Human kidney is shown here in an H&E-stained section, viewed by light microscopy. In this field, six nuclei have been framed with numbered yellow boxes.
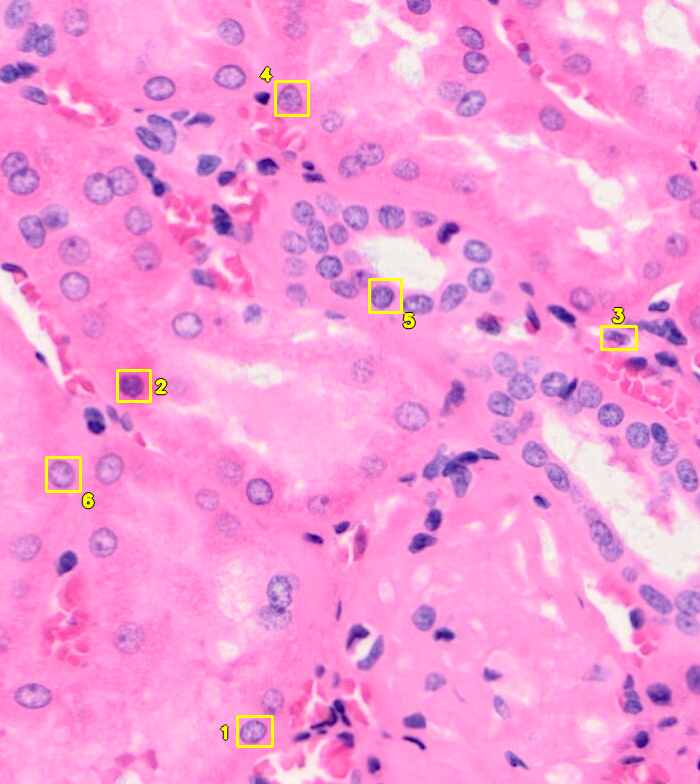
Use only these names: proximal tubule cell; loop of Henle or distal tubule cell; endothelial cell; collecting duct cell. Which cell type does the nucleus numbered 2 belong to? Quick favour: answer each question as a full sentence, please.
The nucleus labeled 2 belongs to a proximal tubule cell.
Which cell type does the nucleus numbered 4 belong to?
The cell with the number 4 is a proximal tubule cell.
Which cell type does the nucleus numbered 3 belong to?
What the number 3 marks in this field is an endothelial cell.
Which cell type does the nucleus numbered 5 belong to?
To a collecting duct cell belongs the nucleus marked 5.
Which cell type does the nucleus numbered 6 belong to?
In this section, the cell numbered 6 is a proximal tubule cell.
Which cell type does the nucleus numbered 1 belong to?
The cell marked with number 1 is a proximal tubule cell.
